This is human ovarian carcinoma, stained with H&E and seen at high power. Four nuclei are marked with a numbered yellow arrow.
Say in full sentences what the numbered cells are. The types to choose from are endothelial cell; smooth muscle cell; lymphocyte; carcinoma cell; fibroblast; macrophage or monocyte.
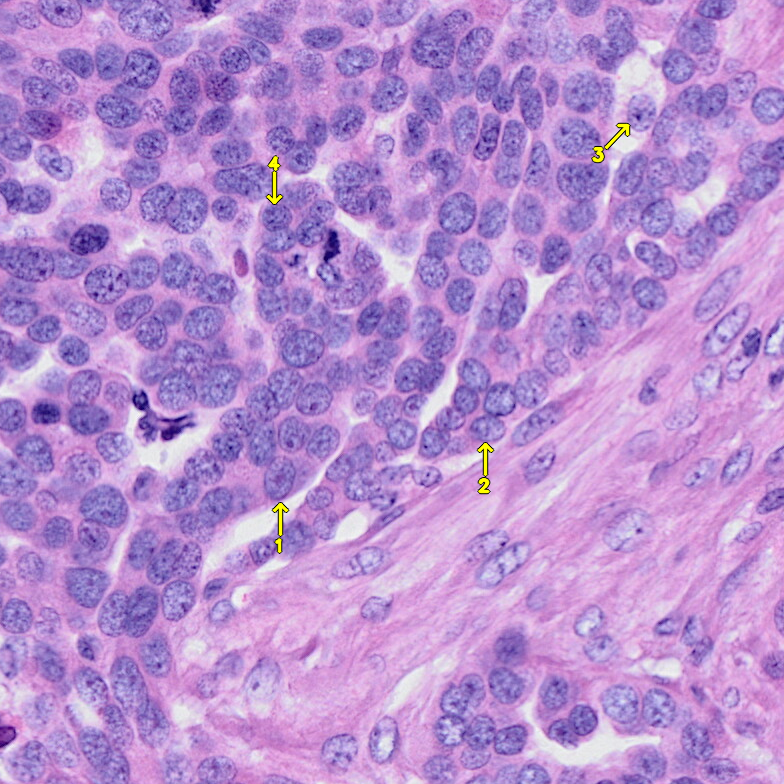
Cell 1 is a carcinoma cell, cell 2 is a carcinoma cell, cell 3 is a macrophage or monocyte and cell 4 is a carcinoma cell.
